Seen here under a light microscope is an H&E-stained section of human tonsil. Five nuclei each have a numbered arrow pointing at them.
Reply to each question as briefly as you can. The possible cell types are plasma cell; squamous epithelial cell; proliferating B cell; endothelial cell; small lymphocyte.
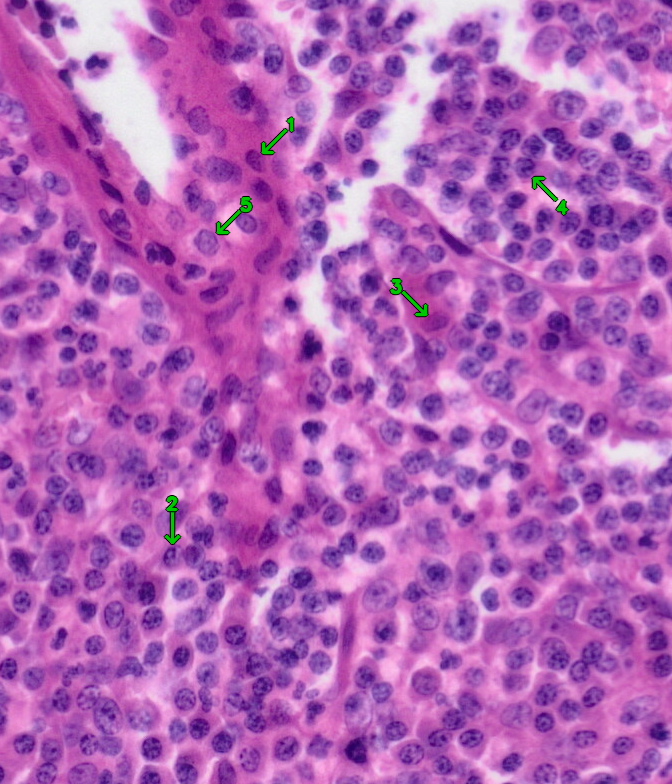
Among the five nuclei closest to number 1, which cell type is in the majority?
squamous epithelial cell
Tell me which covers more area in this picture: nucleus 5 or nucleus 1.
5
